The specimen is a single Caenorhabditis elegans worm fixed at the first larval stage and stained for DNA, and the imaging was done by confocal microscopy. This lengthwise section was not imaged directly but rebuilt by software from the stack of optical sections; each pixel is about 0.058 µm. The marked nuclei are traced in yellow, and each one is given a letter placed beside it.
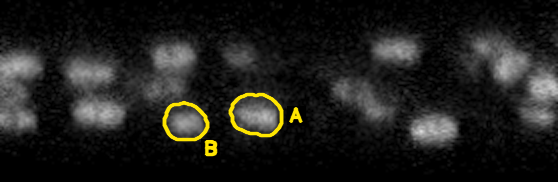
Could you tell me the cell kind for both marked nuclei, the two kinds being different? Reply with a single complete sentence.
One is from a body wall muscle cell, namely A, and the other, B, is from a P cell (ventral epidermal blast cell).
